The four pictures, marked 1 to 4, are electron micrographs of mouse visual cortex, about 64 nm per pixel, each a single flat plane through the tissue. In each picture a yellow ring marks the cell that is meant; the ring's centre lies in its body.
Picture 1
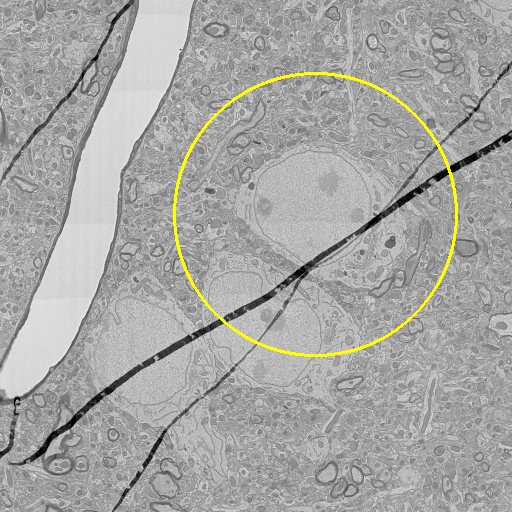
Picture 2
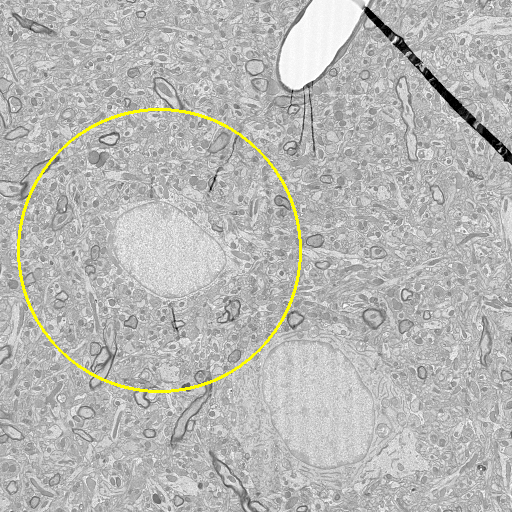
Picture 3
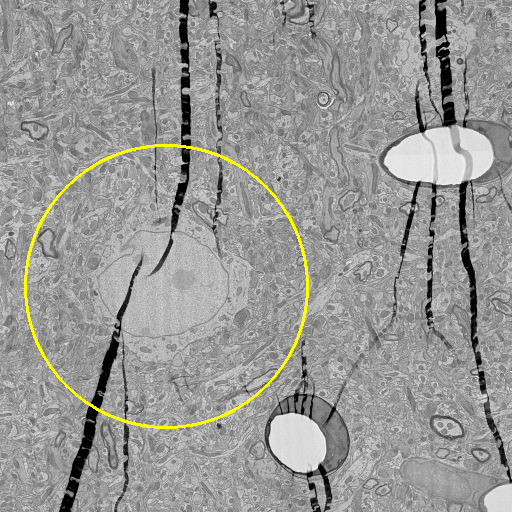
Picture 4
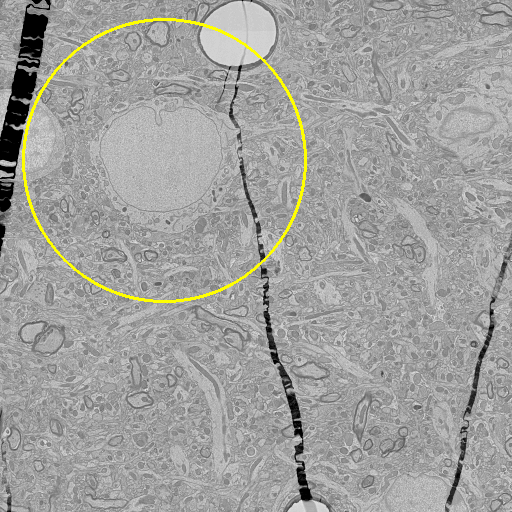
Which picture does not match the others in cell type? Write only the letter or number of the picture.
2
